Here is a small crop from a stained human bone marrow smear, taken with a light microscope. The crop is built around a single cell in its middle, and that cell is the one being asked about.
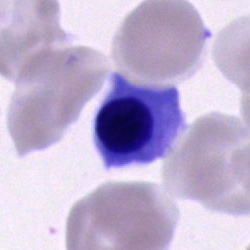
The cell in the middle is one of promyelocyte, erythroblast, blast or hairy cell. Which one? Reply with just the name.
erythroblast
